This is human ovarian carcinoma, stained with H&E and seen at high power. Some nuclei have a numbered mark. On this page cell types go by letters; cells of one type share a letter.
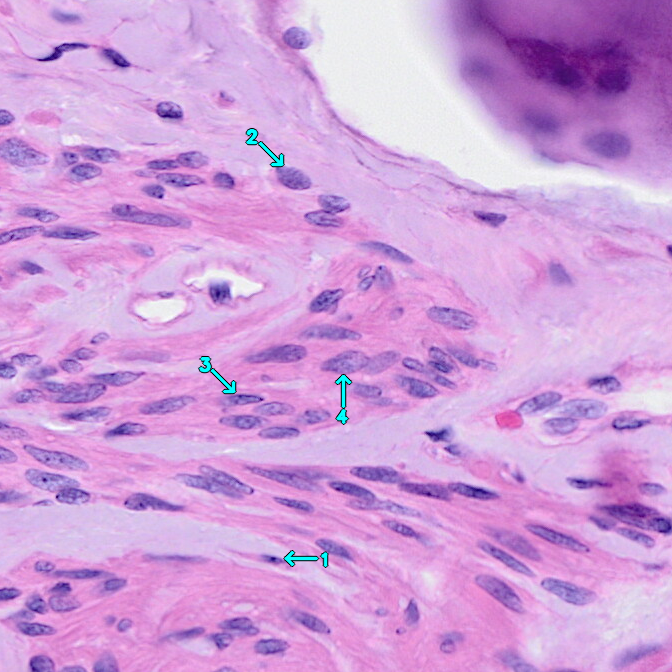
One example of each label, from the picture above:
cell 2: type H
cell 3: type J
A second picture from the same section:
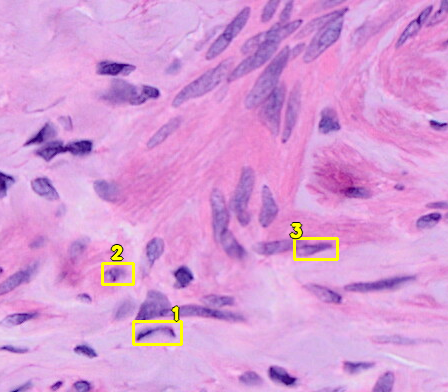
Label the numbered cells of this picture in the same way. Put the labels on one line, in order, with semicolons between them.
type H; type J; type J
